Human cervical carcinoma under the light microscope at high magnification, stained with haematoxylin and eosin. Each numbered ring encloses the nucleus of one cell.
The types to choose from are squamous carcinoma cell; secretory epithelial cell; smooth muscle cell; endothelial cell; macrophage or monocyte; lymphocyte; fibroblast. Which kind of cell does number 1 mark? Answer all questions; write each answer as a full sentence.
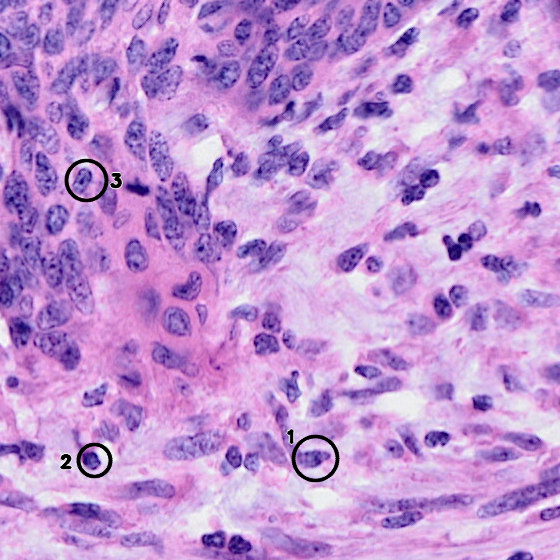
Marked with the number 1, this cell is a lymphocyte.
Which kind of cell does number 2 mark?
The nucleus with number 2 is that of a lymphocyte.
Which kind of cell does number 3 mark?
Number 3 is placed on a squamous carcinoma cell here.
